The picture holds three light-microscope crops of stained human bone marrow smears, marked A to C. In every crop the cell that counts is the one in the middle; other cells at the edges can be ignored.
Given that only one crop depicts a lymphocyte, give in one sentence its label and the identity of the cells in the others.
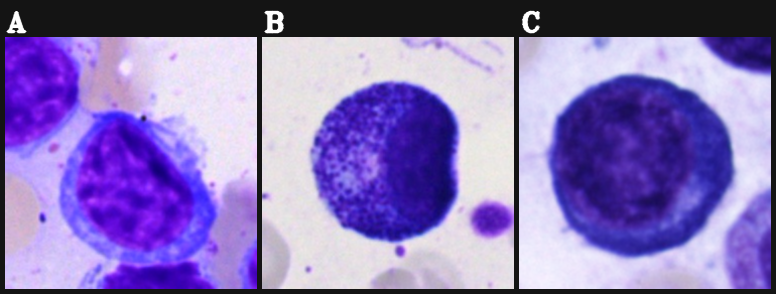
Crop A should be logged as a lymphocyte, while crop B is a promyelocyte and crop C is a proerythroblast.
